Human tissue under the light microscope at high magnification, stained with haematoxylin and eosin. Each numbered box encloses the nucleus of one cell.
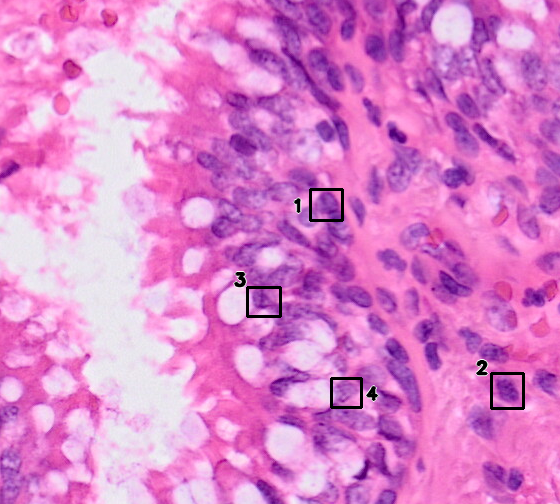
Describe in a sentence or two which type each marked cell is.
Cell 1 is a ciliated epithelial cell, cell 2 is a plasma cell, cell 3 is a ciliated epithelial cell and cell 4 is a ciliated epithelial cell.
